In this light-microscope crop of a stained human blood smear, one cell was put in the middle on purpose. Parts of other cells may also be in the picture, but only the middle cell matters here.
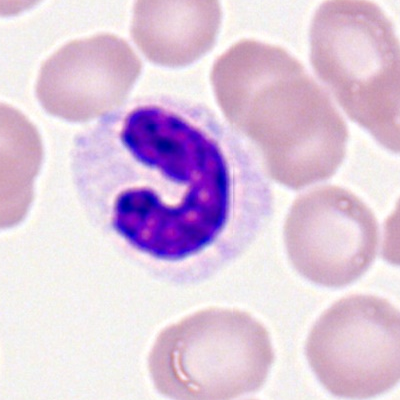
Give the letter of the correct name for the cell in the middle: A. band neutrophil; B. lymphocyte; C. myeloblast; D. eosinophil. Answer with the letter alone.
A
